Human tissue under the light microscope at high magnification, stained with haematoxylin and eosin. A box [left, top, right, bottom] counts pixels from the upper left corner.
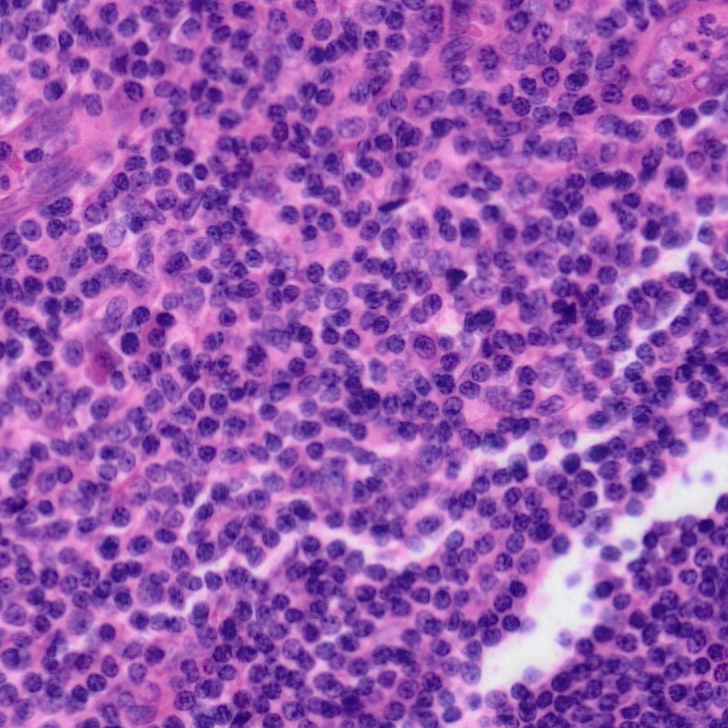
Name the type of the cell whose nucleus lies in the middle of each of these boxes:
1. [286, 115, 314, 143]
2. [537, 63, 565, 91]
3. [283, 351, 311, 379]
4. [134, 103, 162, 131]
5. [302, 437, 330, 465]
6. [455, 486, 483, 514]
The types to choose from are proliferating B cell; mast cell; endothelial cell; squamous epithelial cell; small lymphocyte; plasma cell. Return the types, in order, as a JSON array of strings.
["small lymphocyte", "plasma cell", "small lymphocyte", "plasma cell", "small lymphocyte", "small lymphocyte"]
